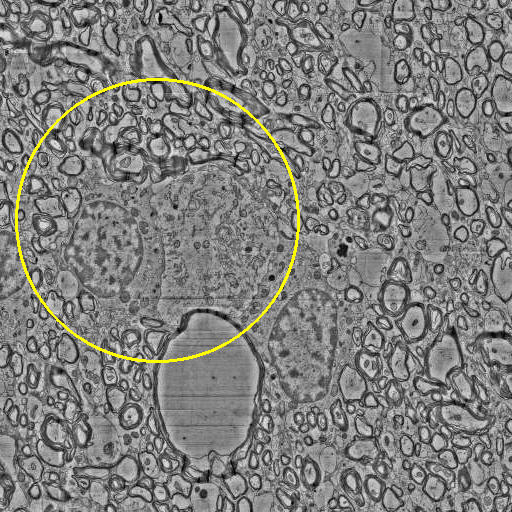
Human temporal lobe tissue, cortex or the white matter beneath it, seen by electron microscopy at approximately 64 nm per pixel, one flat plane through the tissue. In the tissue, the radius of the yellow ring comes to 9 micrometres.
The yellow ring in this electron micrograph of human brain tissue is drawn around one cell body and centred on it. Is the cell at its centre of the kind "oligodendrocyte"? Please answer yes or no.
yes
